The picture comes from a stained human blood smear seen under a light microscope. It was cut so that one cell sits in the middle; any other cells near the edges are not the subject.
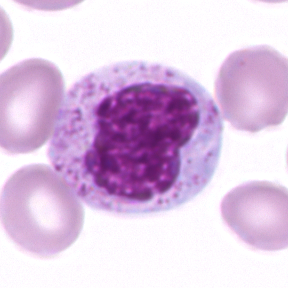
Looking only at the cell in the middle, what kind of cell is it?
metamyelocyte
